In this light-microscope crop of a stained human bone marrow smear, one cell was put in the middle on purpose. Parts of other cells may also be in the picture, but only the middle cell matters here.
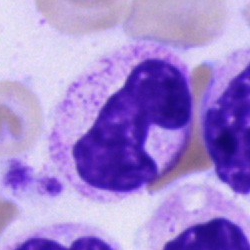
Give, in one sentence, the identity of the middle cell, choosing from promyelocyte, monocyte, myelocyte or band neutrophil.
The cell in the exact centre of the crop is a band neutrophil.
